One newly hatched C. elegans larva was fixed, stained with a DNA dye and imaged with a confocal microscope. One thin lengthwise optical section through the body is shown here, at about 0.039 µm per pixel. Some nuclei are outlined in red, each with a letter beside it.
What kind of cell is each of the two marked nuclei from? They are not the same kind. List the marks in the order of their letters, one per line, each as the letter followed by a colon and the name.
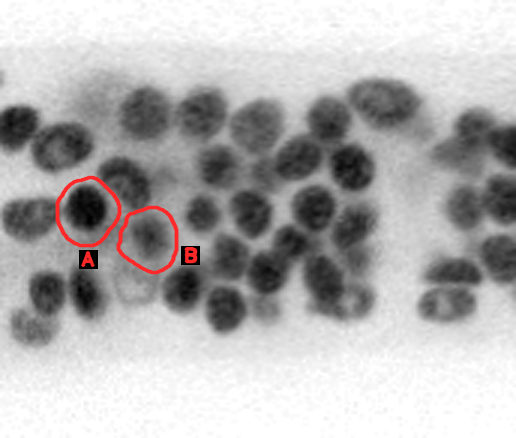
A: pharyngeal muscle cell
B: neuron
